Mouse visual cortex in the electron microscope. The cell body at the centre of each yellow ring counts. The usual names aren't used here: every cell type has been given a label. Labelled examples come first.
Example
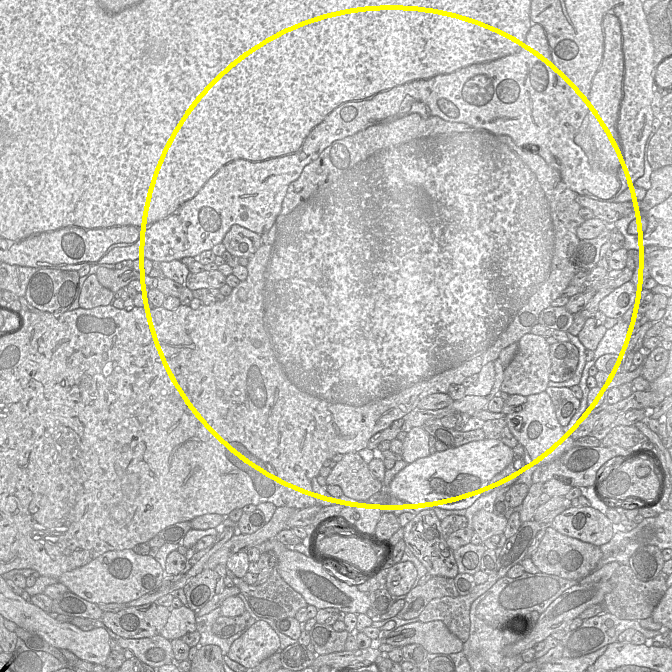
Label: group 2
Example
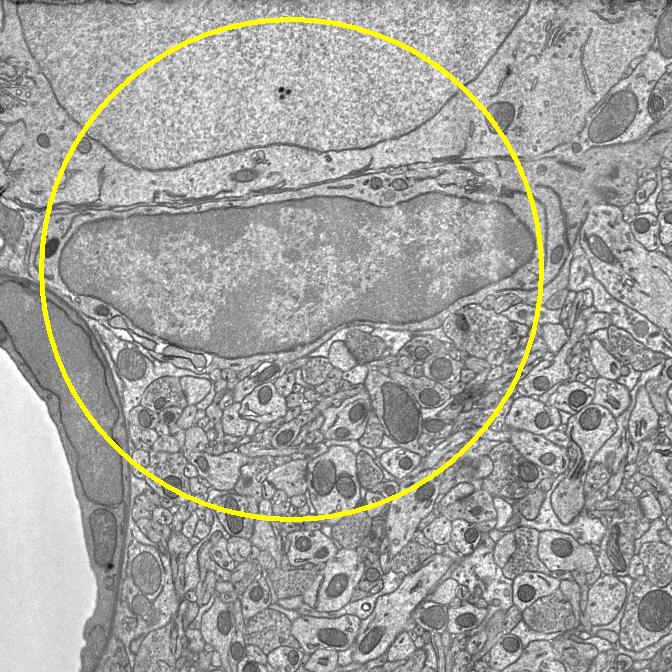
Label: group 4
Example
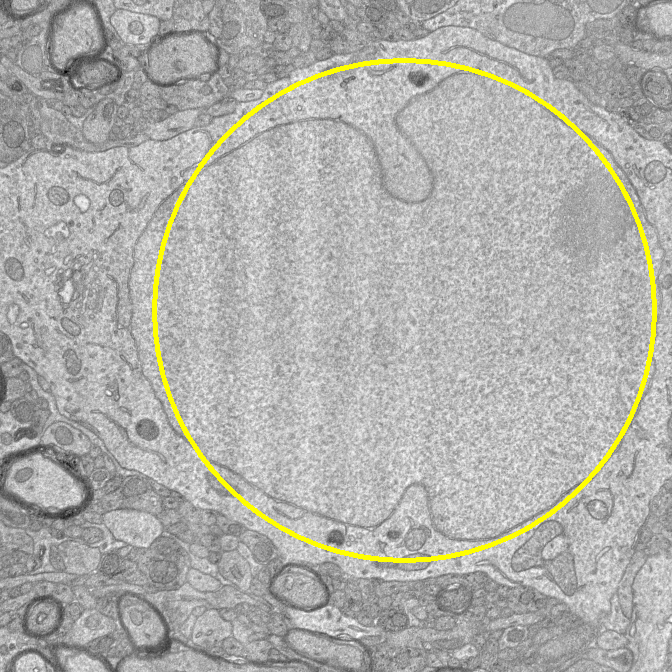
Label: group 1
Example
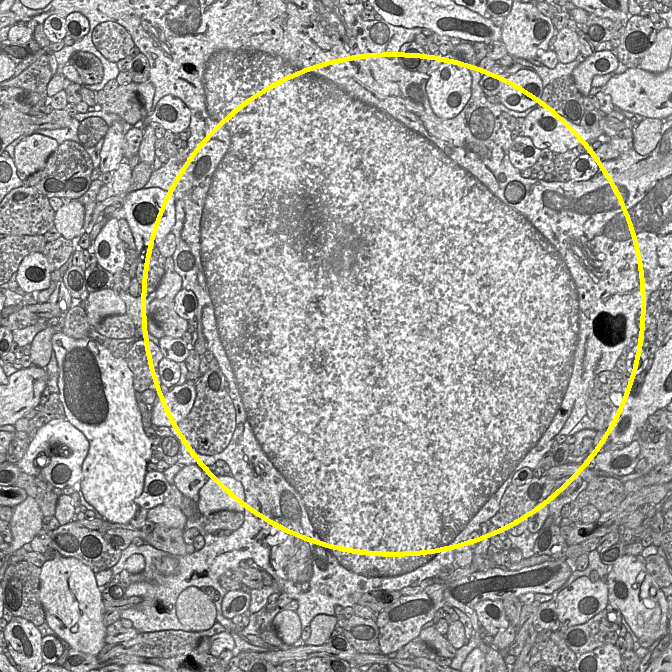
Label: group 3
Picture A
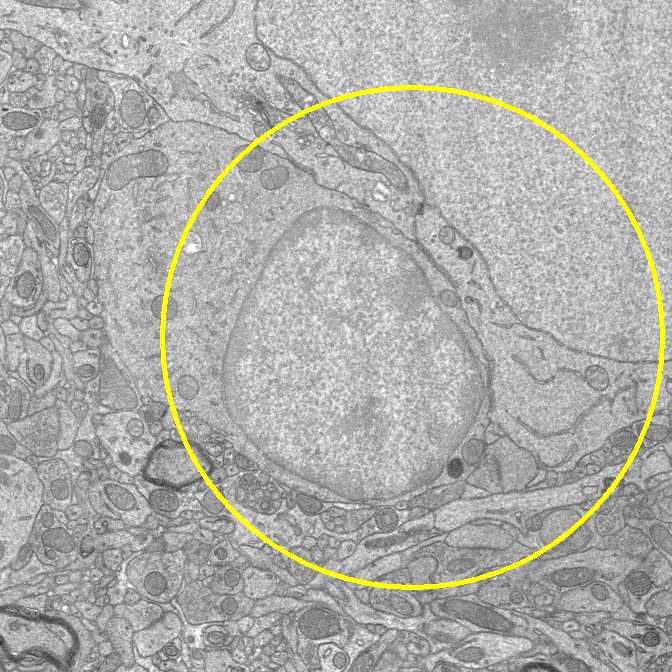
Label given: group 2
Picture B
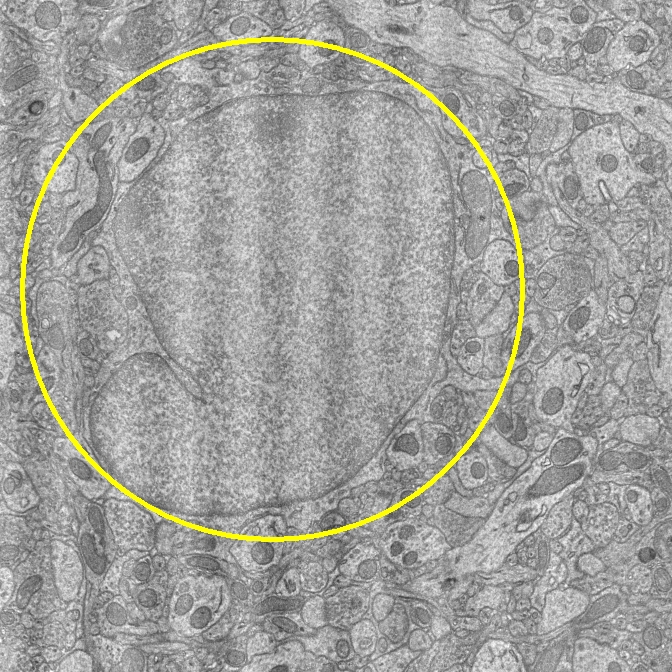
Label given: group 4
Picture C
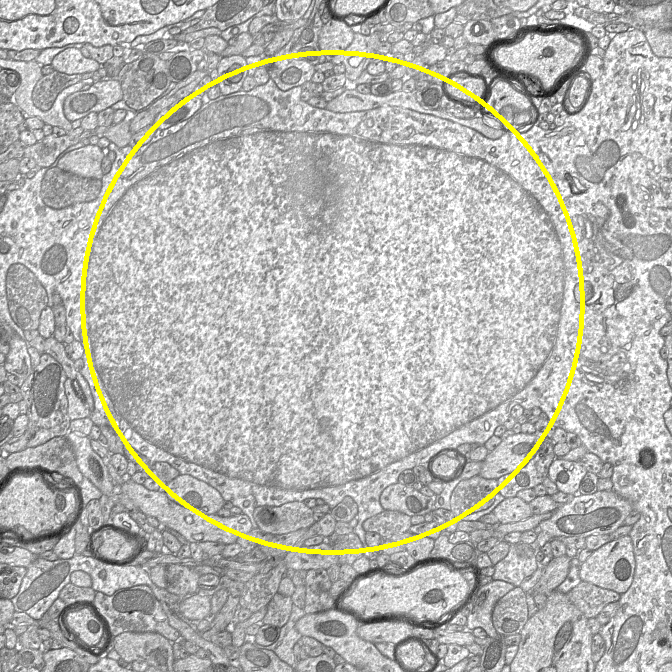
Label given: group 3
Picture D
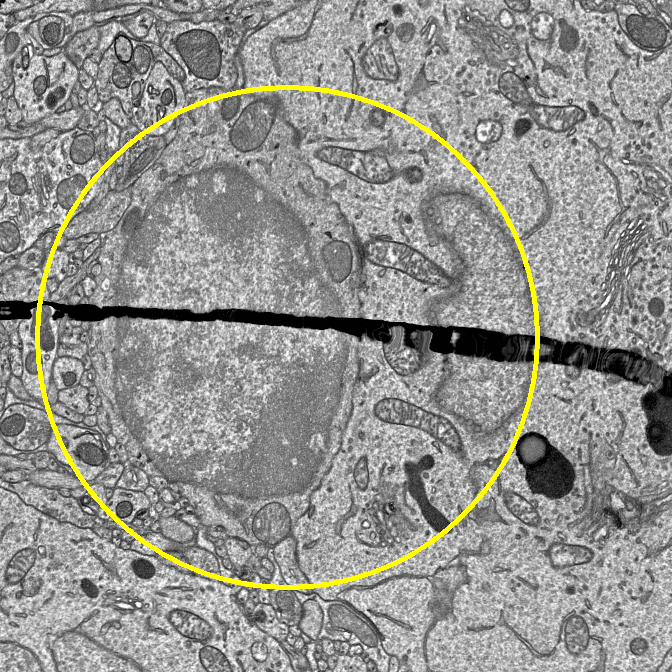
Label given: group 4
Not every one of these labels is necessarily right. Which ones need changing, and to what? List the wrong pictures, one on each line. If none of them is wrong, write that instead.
B should be group 3, not group 4
D should be group 2, not group 4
